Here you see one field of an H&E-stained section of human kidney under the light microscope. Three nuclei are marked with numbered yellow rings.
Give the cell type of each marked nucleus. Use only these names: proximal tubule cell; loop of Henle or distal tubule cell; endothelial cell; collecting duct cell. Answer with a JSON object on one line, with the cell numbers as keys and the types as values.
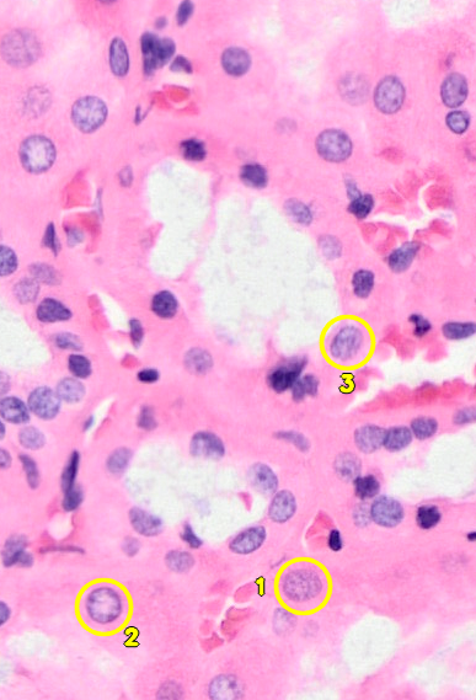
{"1": "proximal tubule cell", "2": "proximal tubule cell", "3": "loop of Henle or distal tubule cell"}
